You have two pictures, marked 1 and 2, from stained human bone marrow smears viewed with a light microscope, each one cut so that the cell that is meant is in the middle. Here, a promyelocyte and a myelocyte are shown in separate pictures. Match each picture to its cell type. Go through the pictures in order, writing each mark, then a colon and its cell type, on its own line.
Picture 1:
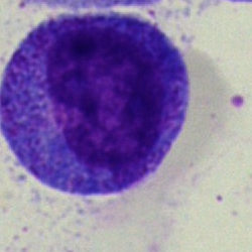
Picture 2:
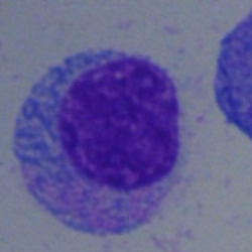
1: promyelocyte
2: myelocyte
